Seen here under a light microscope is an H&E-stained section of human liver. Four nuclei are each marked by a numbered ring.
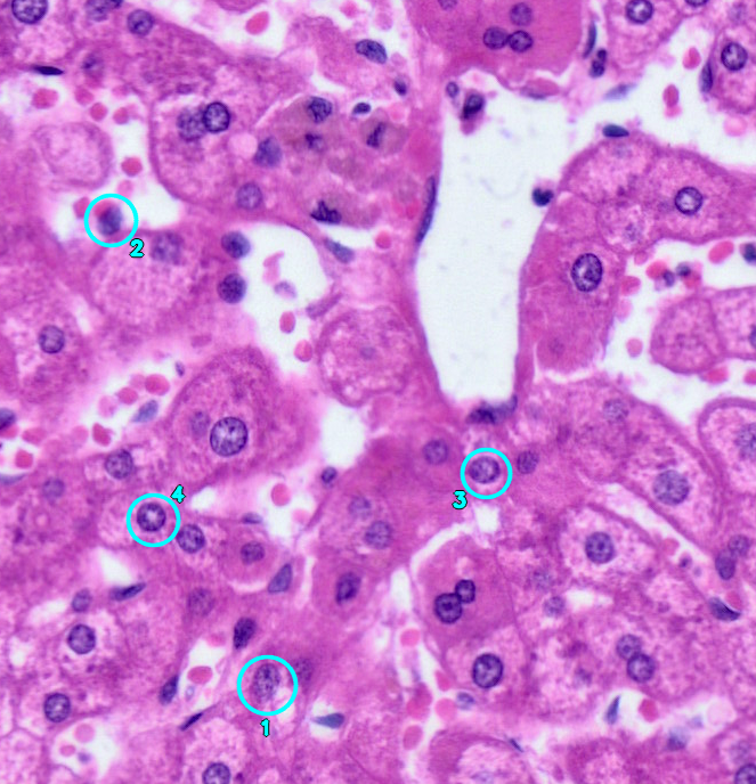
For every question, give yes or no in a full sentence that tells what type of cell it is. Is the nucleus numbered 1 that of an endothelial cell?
No, number 1 is not an endothelial cell but a hepatocyte.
